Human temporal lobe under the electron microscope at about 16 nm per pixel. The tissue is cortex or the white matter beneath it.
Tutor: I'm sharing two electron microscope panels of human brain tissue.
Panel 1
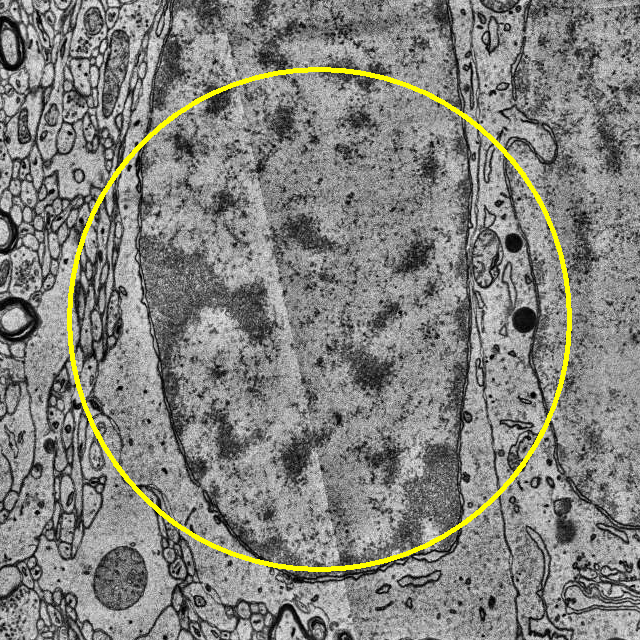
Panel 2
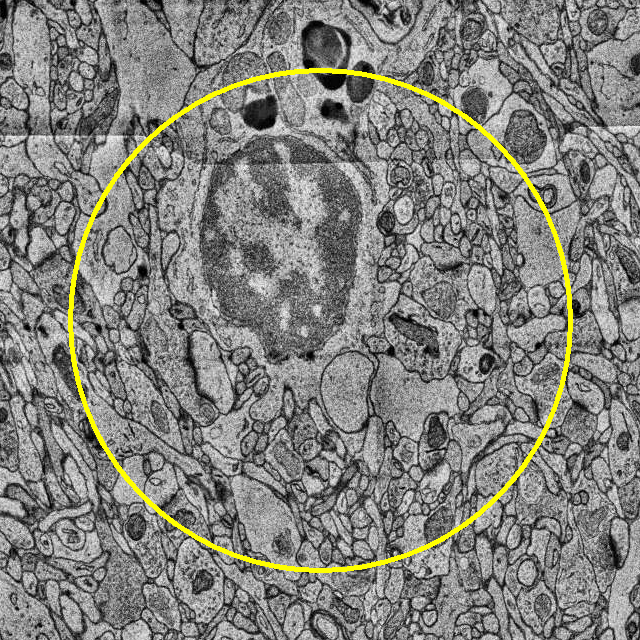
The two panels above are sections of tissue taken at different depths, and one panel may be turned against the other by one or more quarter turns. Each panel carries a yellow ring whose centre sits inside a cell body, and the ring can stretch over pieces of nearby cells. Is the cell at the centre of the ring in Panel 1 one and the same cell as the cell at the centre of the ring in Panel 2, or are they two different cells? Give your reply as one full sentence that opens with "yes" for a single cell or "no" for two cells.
No, each of the two rings holds a different cell.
